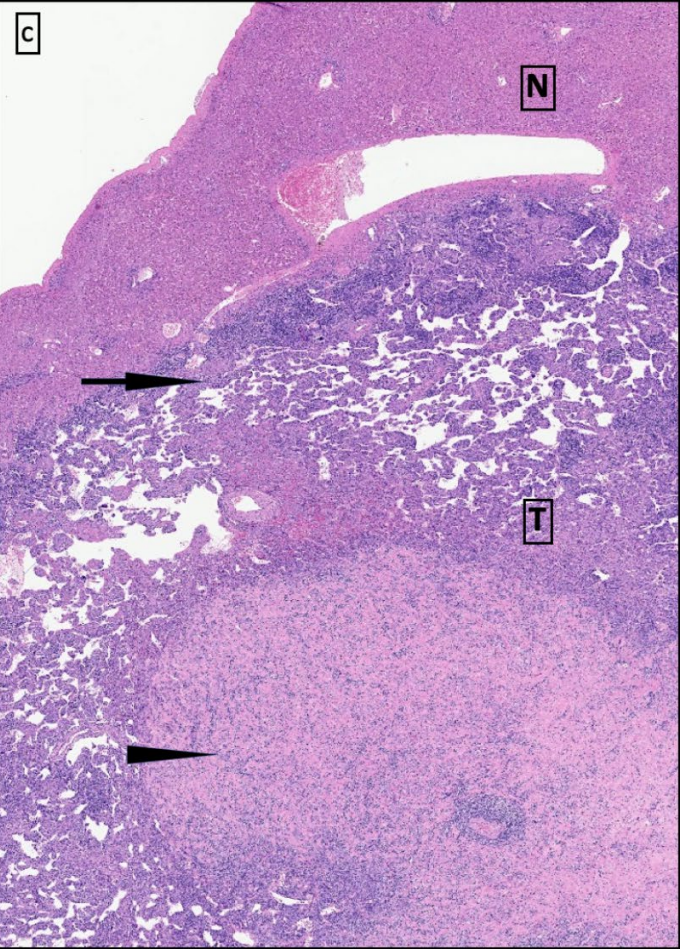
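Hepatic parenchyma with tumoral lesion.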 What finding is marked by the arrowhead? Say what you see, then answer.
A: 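Broad pale pink area at the arrowhead with few nuclei. Homogeneous fibrous-looking matrix in that area. Few open vascular spaces compared with the zone above. So: sclerosing hypocellular region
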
